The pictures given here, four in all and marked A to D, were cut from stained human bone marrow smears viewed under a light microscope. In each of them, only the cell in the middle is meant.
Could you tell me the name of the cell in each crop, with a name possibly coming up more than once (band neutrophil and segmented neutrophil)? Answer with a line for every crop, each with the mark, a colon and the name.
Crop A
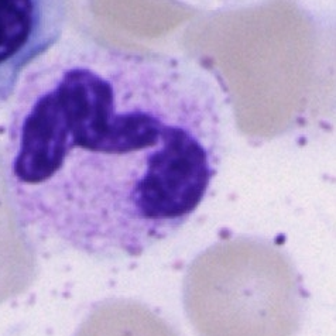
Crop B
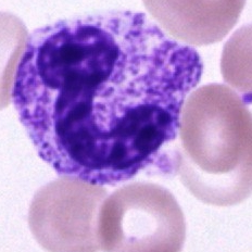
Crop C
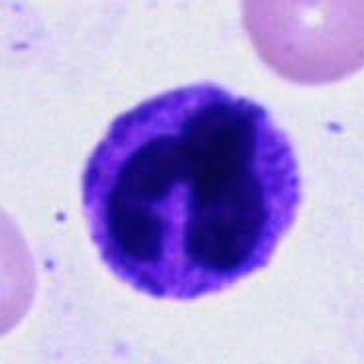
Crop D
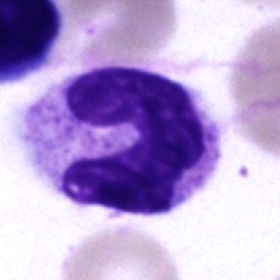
A: segmented neutrophil
B: band neutrophil
C: segmented neutrophil
D: band neutrophil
